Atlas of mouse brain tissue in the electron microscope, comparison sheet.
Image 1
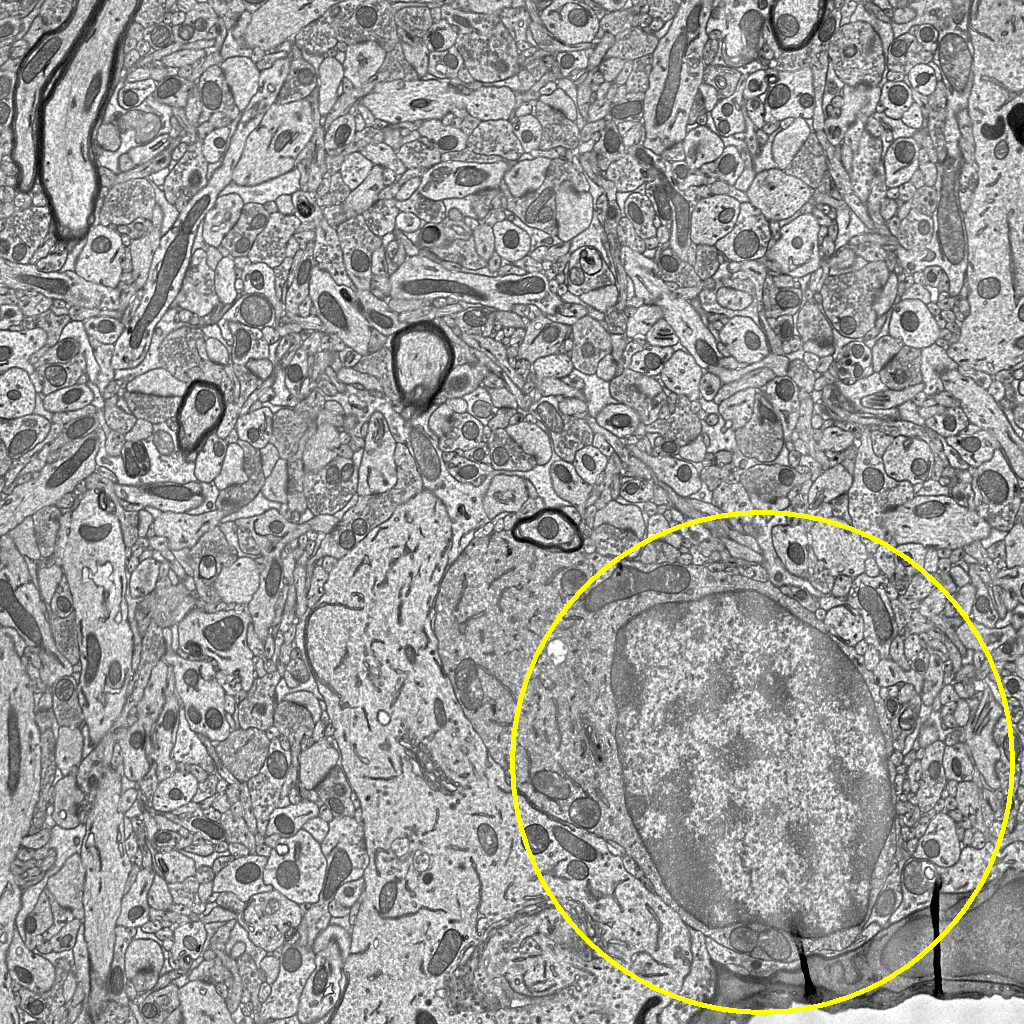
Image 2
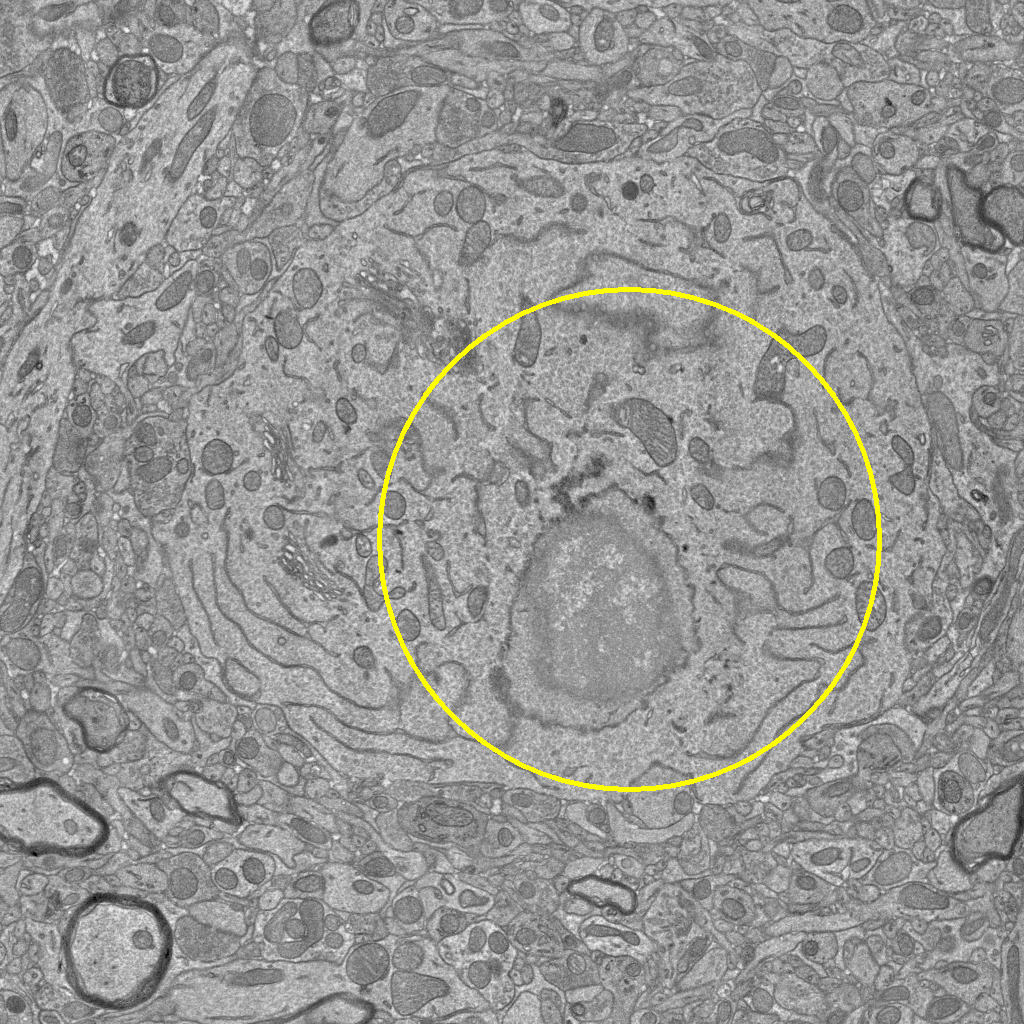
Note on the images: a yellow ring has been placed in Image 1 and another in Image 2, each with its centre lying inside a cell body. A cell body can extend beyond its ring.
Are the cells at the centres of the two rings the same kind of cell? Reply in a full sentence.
Yes, both cells are of the same kind.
